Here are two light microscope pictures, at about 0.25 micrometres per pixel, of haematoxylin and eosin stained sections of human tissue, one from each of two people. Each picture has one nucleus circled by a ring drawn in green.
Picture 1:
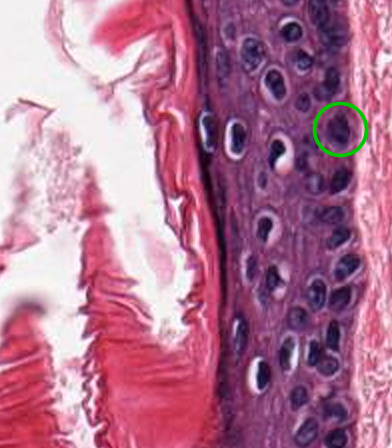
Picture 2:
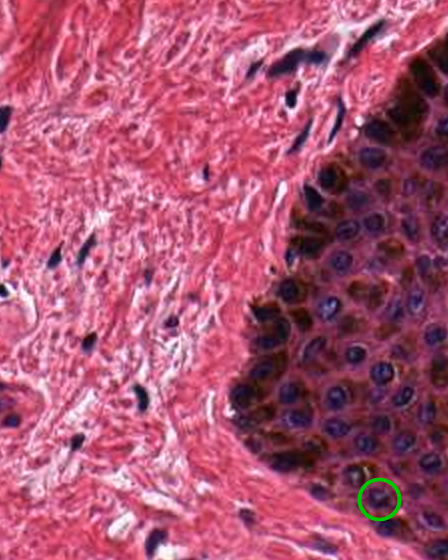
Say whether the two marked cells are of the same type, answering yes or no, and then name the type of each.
Yes, both are keratinocytes.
